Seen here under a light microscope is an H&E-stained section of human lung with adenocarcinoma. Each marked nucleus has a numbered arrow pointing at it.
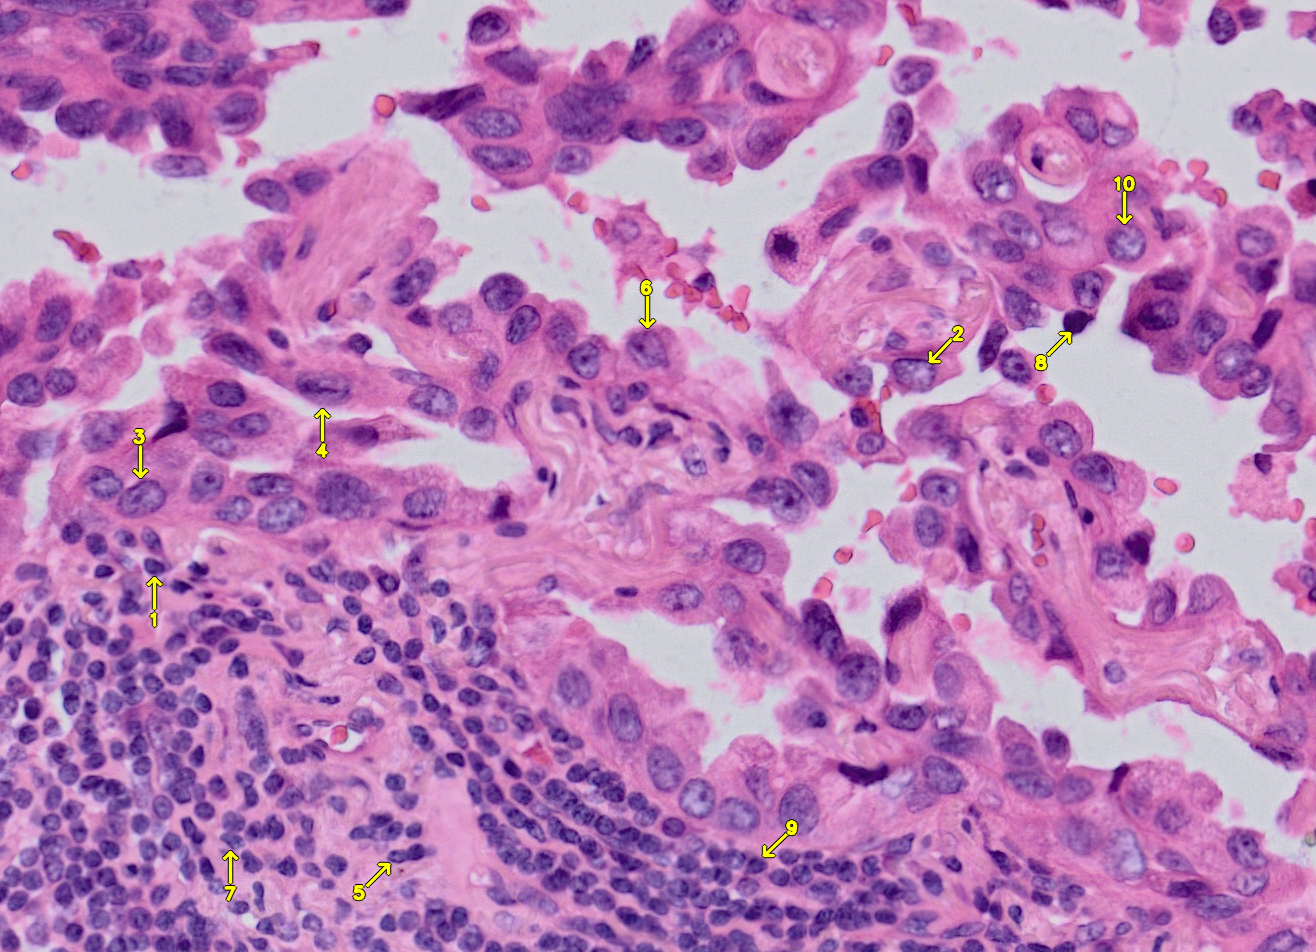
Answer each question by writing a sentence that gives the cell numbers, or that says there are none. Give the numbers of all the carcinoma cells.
The cells with the numbers 2, 3, 4, 6, 8 and 10 are carcinoma cells.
